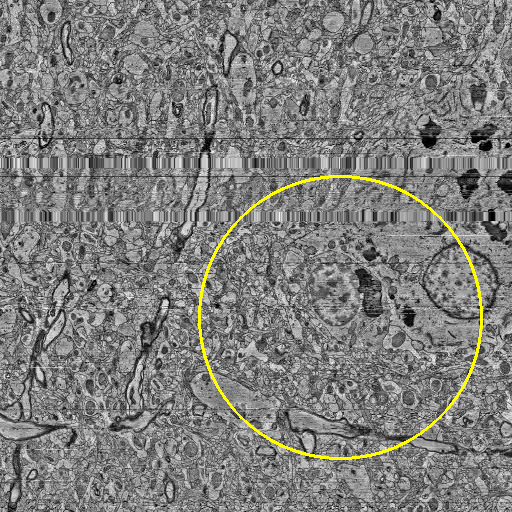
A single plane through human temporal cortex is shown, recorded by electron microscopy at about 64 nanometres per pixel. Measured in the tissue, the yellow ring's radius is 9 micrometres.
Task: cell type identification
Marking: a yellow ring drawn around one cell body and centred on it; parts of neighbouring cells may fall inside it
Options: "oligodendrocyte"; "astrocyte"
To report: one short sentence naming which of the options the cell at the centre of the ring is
The cell at the centre of the ring is an oligodendrocyte.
